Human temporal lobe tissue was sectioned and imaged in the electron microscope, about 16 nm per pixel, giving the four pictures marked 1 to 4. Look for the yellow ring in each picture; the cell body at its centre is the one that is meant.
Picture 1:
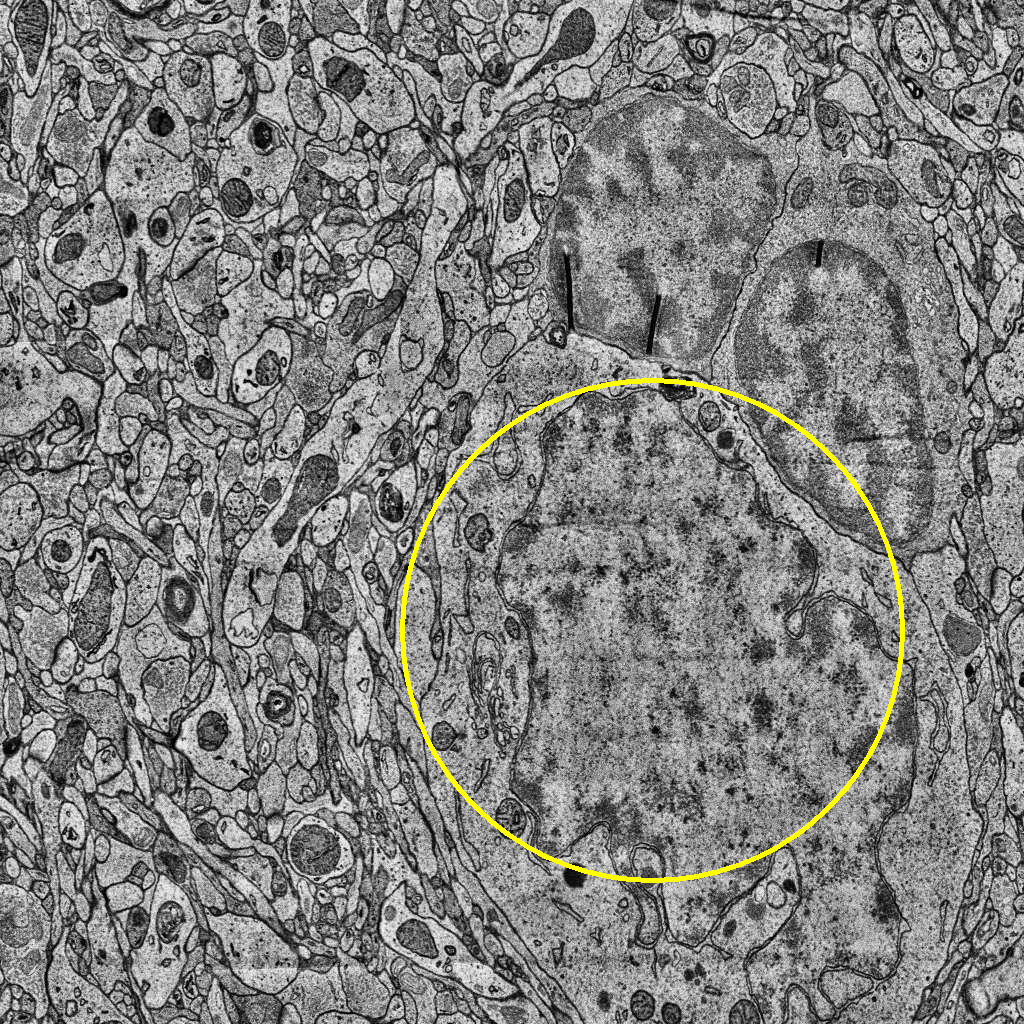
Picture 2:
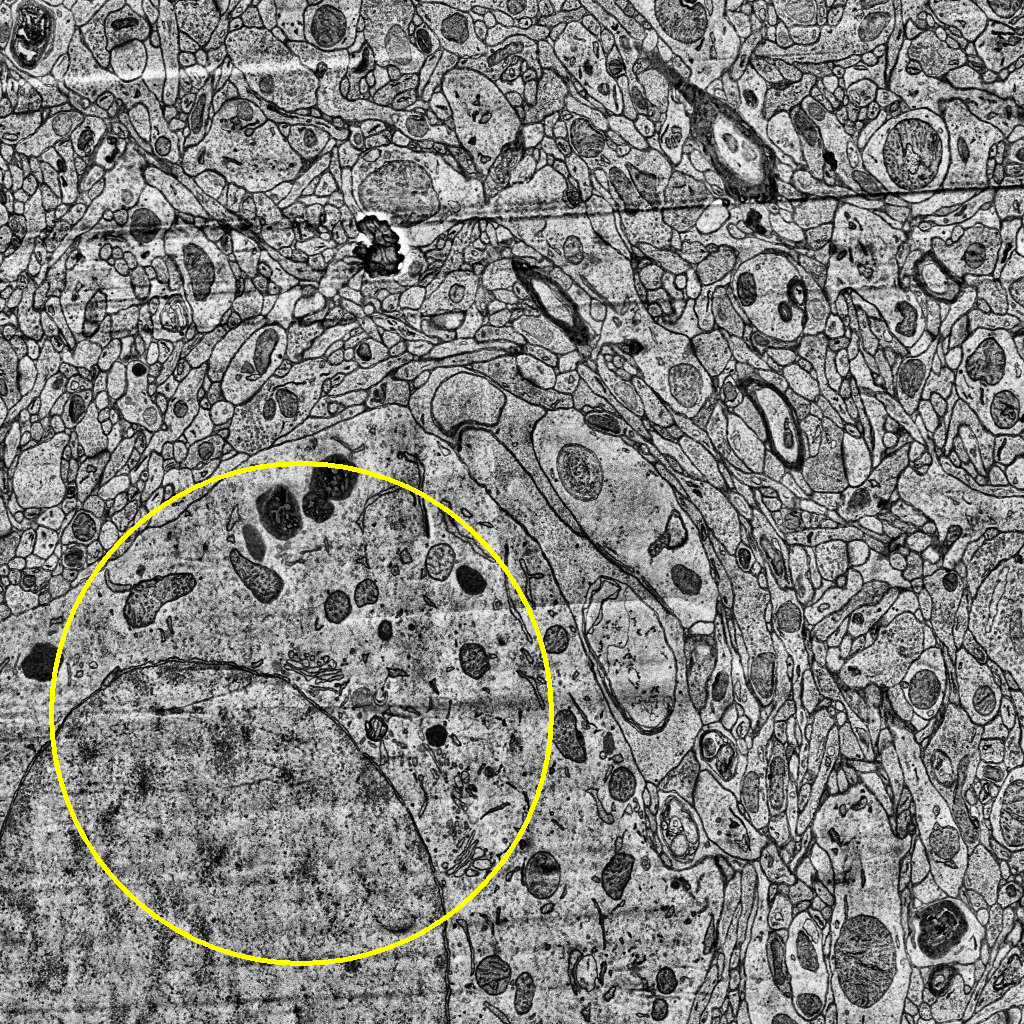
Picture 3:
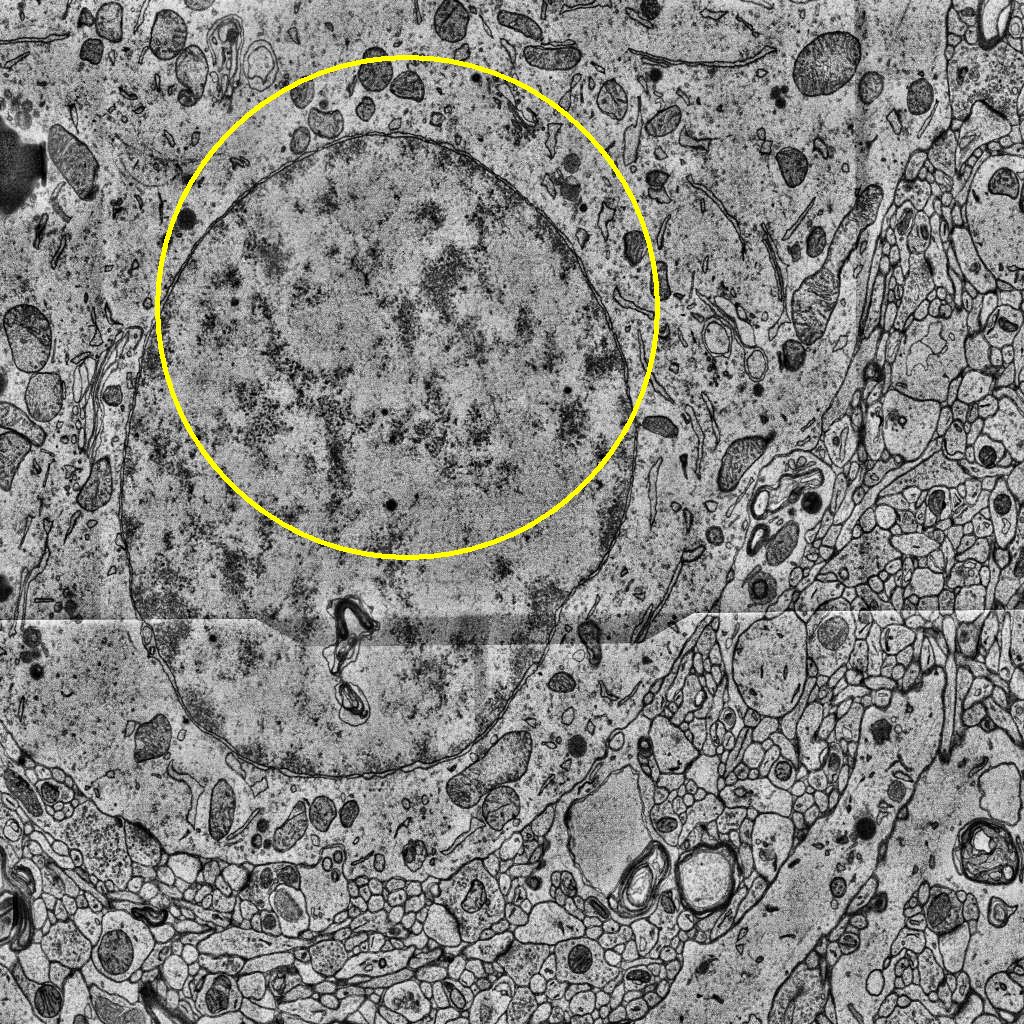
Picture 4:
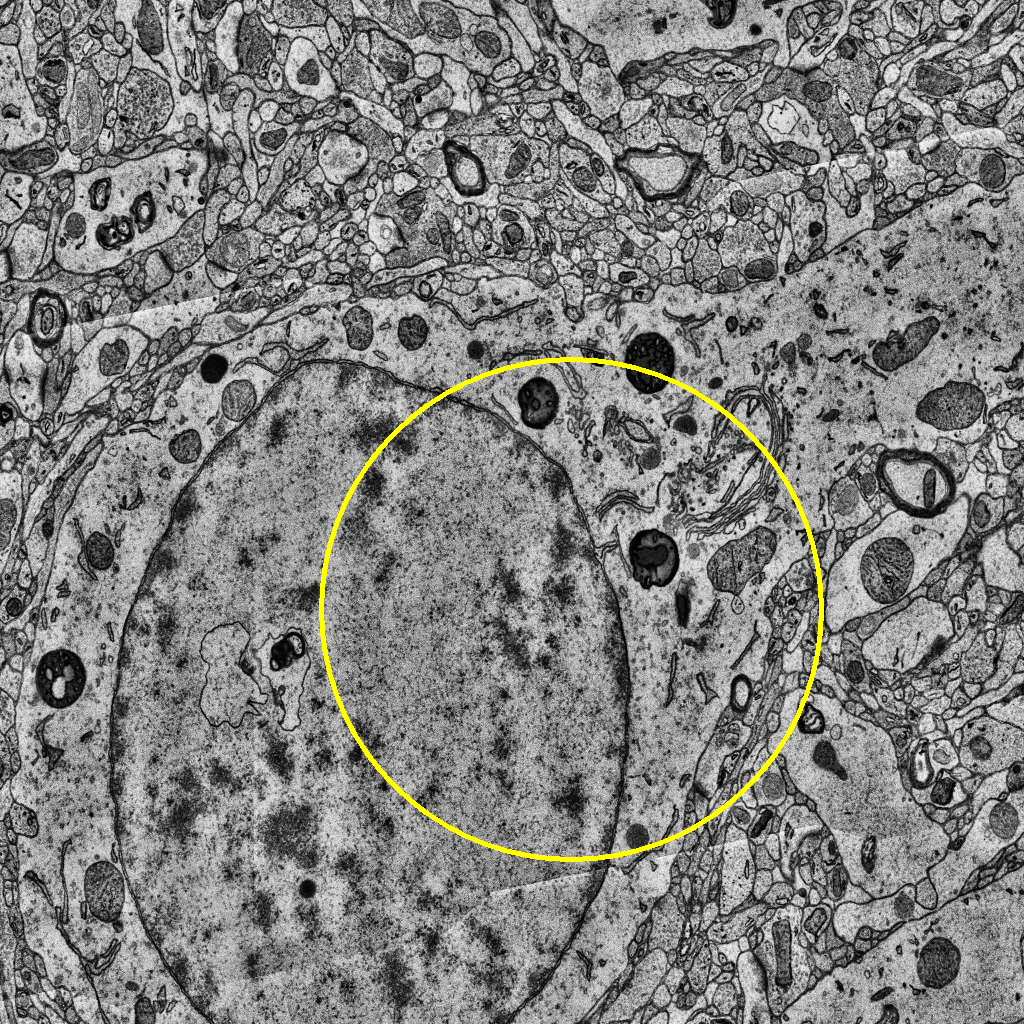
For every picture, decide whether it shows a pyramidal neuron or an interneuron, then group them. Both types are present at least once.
Pictures 2 and 4 show pyramidal neurons; pictures 1 and 3 show interneurons.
